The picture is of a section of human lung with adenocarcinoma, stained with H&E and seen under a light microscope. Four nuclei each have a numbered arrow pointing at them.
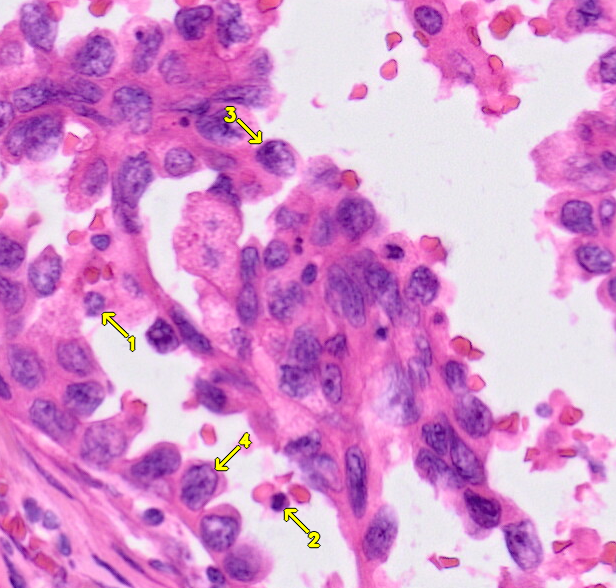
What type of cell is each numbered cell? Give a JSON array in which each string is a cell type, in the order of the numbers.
["macrophage or monocyte", "lymphocyte", "carcinoma cell", "carcinoma cell"]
